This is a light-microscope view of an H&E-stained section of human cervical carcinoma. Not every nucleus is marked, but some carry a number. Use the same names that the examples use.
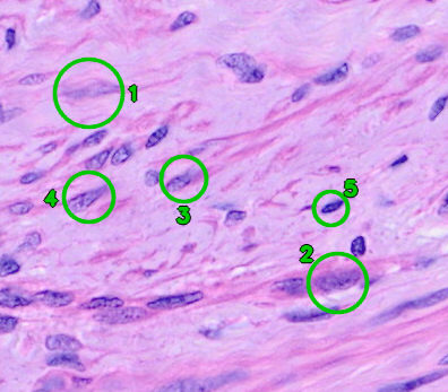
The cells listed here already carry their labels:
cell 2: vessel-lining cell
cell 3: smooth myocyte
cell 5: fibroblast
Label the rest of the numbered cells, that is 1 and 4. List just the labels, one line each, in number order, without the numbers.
smooth myocyte
smooth myocyte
